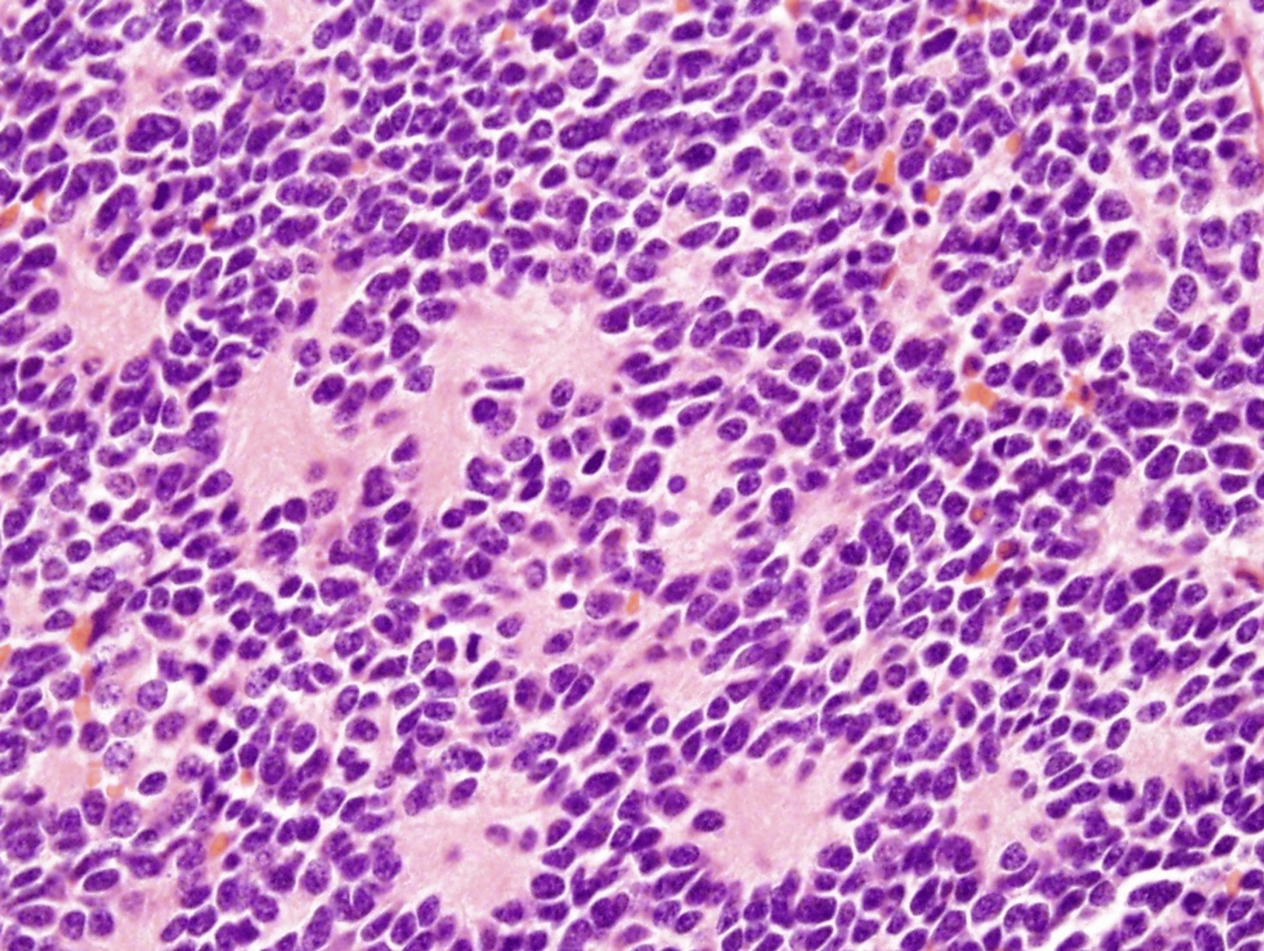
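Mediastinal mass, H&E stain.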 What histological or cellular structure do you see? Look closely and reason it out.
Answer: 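Nuclei are arranged in rings around central pink fibrillary cores. On this evidence: Homer-Wright rosettes.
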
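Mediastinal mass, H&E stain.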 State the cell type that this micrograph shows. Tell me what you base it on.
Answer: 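Neuroblasts. Densely packed small cells with dark blue-purple round to oval nuclei. Very little cytoplasm is visible around the nuclei.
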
